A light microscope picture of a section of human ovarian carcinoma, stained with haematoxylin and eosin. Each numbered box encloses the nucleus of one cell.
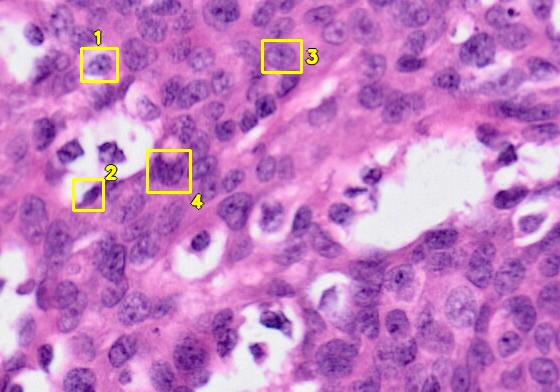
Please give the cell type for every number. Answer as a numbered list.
1. macrophage or monocyte
2. carcinoma cell
3. carcinoma cell
4. carcinoma cell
